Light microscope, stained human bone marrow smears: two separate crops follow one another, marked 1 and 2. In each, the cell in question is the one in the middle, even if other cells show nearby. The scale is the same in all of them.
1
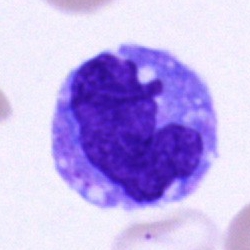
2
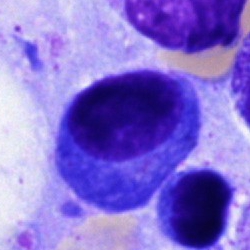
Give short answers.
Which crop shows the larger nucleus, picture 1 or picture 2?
1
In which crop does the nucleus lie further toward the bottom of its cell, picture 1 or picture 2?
1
